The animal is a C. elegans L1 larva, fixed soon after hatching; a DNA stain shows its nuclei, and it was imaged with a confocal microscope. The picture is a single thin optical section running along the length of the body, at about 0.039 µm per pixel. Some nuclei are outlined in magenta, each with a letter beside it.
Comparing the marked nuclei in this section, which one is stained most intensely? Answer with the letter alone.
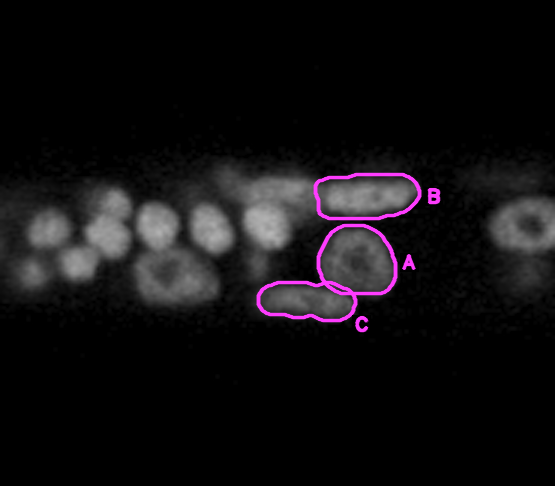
B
